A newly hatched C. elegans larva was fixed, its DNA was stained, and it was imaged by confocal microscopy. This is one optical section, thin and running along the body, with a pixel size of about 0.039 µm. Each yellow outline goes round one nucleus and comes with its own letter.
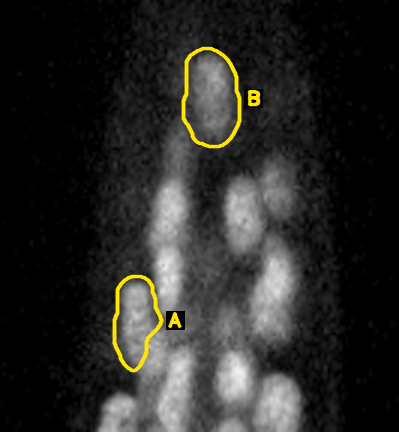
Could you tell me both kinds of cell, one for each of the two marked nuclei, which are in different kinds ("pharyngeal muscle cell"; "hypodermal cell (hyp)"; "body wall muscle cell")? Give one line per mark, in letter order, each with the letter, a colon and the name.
A: body wall muscle cell
B: hypodermal cell (hyp)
